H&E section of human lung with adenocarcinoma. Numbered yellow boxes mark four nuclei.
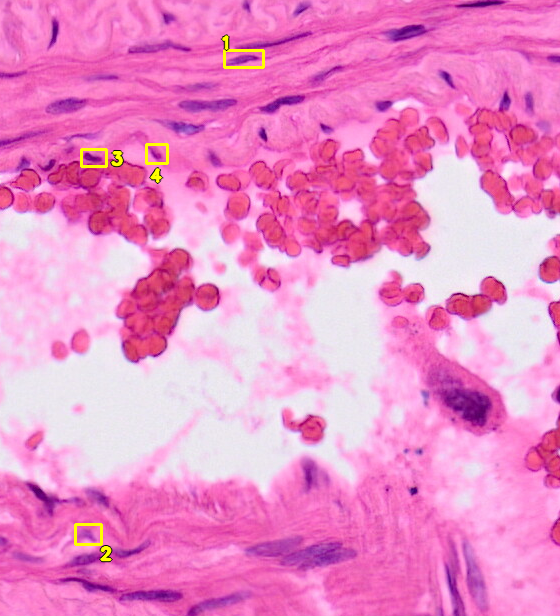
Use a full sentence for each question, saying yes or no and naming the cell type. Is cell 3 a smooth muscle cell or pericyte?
No, number 3 is assigned to an endothelial cell, not to a smooth muscle cell or pericyte.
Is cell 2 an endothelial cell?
No. Cell number 2 is a smooth muscle cell or pericyte, not an endothelial cell.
